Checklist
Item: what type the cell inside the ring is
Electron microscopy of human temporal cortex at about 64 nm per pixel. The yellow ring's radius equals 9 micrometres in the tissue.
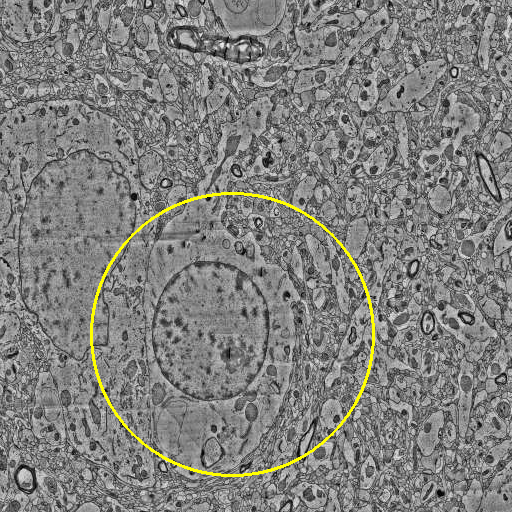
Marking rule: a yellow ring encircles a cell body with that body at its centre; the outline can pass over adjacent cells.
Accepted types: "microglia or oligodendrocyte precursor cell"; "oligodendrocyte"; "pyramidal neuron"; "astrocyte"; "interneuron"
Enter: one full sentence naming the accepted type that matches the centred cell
The entry is that an astrocyte lies at the centre of the yellow ring.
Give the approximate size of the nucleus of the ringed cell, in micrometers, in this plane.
About 8 micrometres across in this plane, for the nucleus.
